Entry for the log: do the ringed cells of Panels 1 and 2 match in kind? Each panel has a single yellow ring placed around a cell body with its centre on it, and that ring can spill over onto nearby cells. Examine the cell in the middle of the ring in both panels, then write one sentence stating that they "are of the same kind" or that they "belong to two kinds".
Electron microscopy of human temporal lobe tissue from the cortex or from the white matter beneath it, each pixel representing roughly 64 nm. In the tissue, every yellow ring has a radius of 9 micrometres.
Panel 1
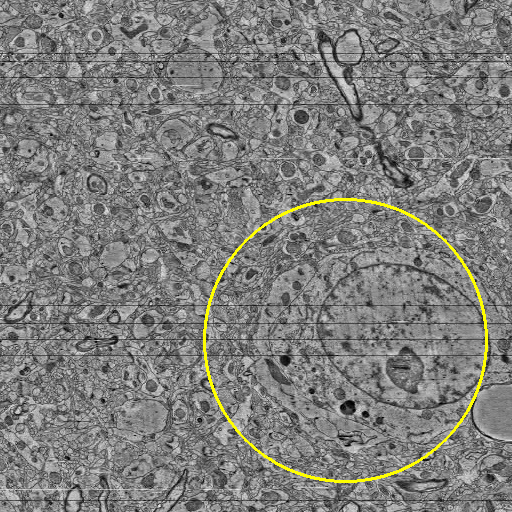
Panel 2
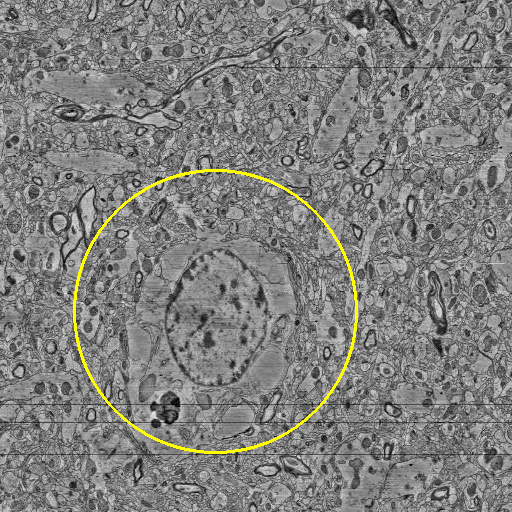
The centre cell of Panel 1's ring and that of Panel 2's ring belong to two kinds.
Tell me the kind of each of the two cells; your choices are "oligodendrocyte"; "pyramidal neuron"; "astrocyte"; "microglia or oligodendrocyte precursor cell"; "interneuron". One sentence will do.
The ringed cell is a pyramidal neuron in the first picture and an astrocyte in the second picture.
